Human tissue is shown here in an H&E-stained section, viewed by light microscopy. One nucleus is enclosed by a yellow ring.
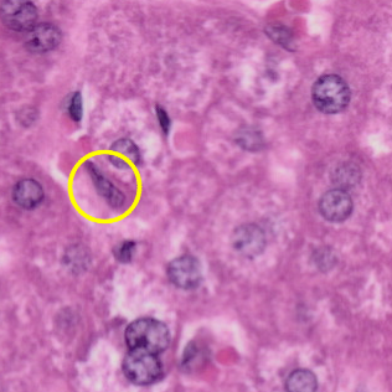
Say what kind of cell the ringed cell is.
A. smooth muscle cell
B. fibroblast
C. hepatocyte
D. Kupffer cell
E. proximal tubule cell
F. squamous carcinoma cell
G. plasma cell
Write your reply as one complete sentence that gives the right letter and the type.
Since the ringed cell is a Kupffer cell, the right option is D.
